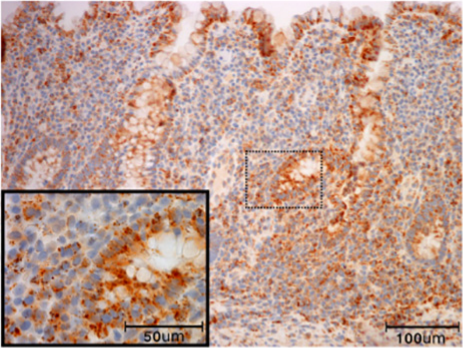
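This is colonic mucosa with surface epithelium, crypts and a lamina propria crowded with inflammatory cells. The crypts are lined by columnar epithelium with pale goblet cells and are spaced apart by a dense cellular infiltrate of small round blue nuclei. Many of these lamina propria cells carry granular brown stain in their cytoplasm, and the surface epithelium at the top also stains brown, especially toward the luminal side. The enlarged inset shows a crypt with pale mucin-filled goblet cells, closely surrounded by many cells with round blue nuclei and coarse brown granules.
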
